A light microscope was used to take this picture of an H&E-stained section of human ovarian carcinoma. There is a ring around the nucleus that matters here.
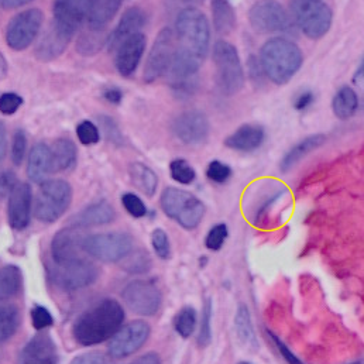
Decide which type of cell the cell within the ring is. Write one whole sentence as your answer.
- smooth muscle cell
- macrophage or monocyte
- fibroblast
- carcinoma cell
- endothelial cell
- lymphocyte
It is an endothelial cell that the cell within the ring represents.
